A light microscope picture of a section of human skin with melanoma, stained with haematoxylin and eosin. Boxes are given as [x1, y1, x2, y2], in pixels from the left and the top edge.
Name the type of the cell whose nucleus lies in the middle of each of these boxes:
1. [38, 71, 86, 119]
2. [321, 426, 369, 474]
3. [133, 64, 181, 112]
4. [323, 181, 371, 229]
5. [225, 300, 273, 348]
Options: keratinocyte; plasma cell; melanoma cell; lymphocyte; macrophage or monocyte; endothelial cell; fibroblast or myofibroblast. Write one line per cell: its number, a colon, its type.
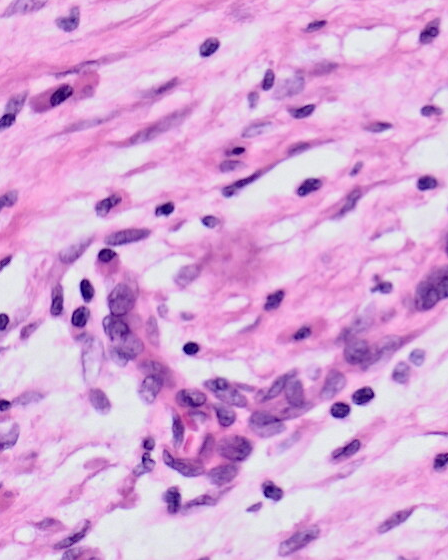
1: plasma cell
2: macrophage or monocyte
3: fibroblast or myofibroblast
4: fibroblast or myofibroblast
5: fibroblast or myofibroblast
